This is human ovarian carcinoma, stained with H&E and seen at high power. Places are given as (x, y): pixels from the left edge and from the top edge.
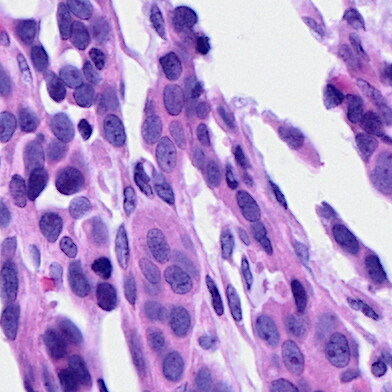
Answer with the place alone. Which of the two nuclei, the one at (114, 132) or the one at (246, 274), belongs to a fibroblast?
(246, 274)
